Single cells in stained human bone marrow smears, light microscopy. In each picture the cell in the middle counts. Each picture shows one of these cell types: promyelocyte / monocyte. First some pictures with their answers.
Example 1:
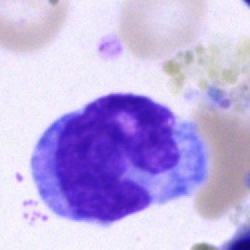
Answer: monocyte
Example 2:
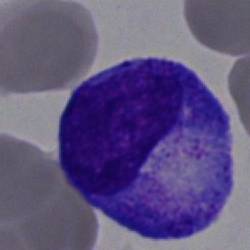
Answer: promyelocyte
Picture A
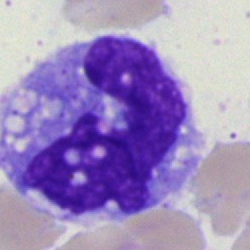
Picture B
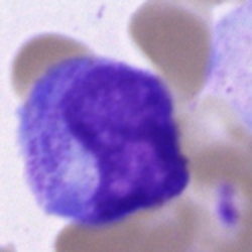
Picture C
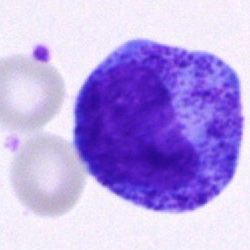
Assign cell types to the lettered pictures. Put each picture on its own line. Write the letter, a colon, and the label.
A: monocyte
B: promyelocyte
C: promyelocyte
